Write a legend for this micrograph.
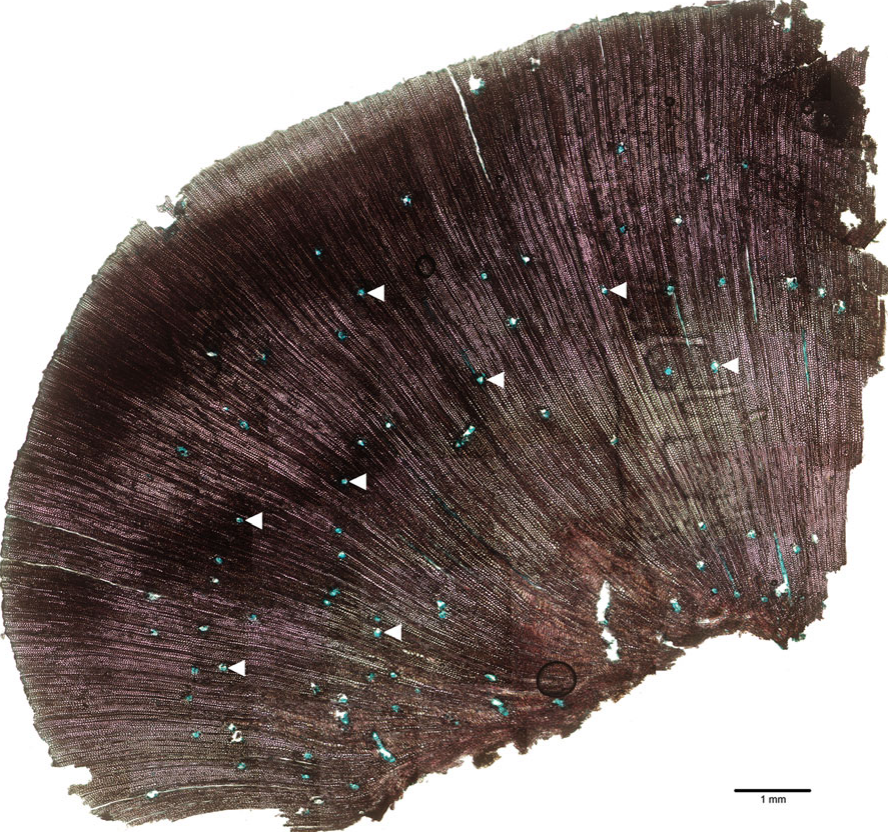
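A broad cross section of woody tissue is seen, built of very many small, thick-walled cells lined up in narrow radial rows. Small bluish-green spots are scattered through the tissue among the cell rows, and a few cracks run through it.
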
